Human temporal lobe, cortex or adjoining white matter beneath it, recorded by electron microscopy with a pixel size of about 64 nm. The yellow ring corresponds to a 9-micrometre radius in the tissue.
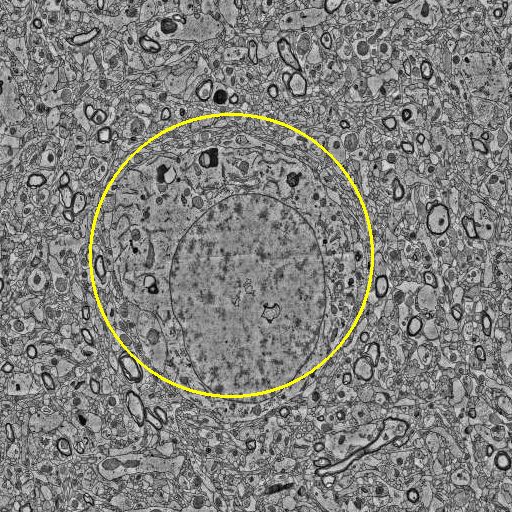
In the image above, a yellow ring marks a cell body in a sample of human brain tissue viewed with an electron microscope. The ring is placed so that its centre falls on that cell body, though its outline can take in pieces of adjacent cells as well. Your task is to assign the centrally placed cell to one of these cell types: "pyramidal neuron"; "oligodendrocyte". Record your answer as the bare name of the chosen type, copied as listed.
pyramidal neuron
